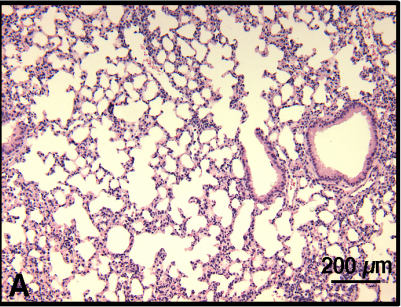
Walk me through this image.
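This is normal lung tissue, with a delicate lacework of thin alveolar septa separating many open, pale air spaces. The septa are only a few cells thick, with small purple nuclei spaced along pink walls. On the right a bronchiole is cut across, its lumen lined by a continuous layer of epithelial cells, and a second elongated airway runs beside it.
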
